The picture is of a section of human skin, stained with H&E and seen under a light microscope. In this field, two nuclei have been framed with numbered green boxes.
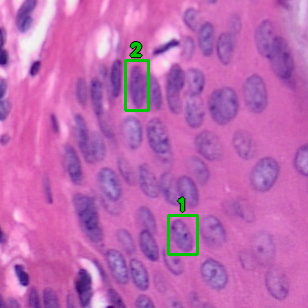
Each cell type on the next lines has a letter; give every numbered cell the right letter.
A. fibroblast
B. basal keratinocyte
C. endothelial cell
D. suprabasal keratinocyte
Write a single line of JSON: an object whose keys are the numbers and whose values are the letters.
{"1": "D", "2": "B"}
